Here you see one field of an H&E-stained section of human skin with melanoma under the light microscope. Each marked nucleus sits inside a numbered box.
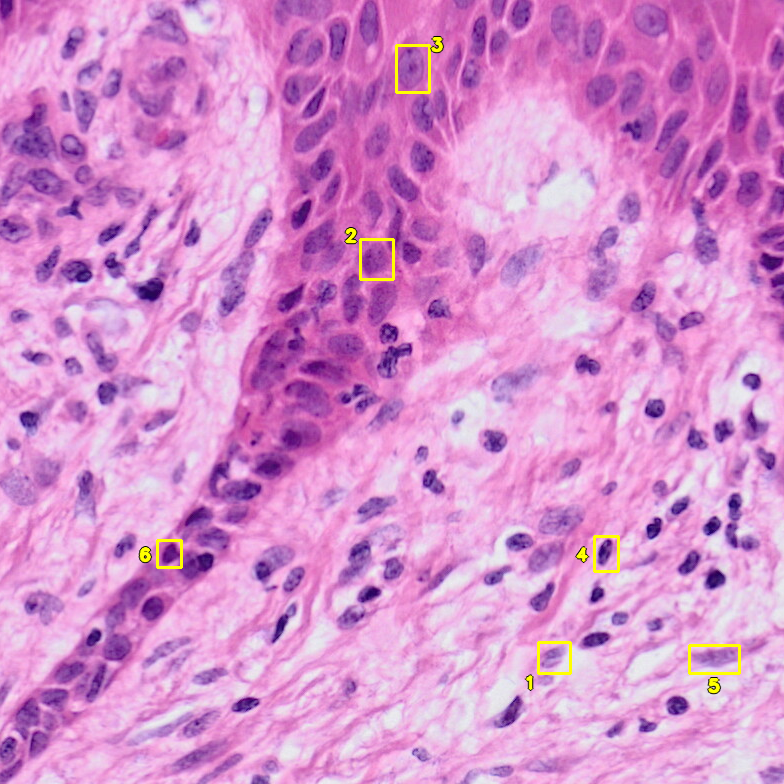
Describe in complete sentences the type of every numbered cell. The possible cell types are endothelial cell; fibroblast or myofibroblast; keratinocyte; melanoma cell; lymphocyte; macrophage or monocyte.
Cell 1 is a macrophage or monocyte, cell 2 is a keratinocyte, cell 3 is a keratinocyte, cell 4 is a lymphocyte, cell 5 is a fibroblast or myofibroblast and cell 6 is a keratinocyte.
